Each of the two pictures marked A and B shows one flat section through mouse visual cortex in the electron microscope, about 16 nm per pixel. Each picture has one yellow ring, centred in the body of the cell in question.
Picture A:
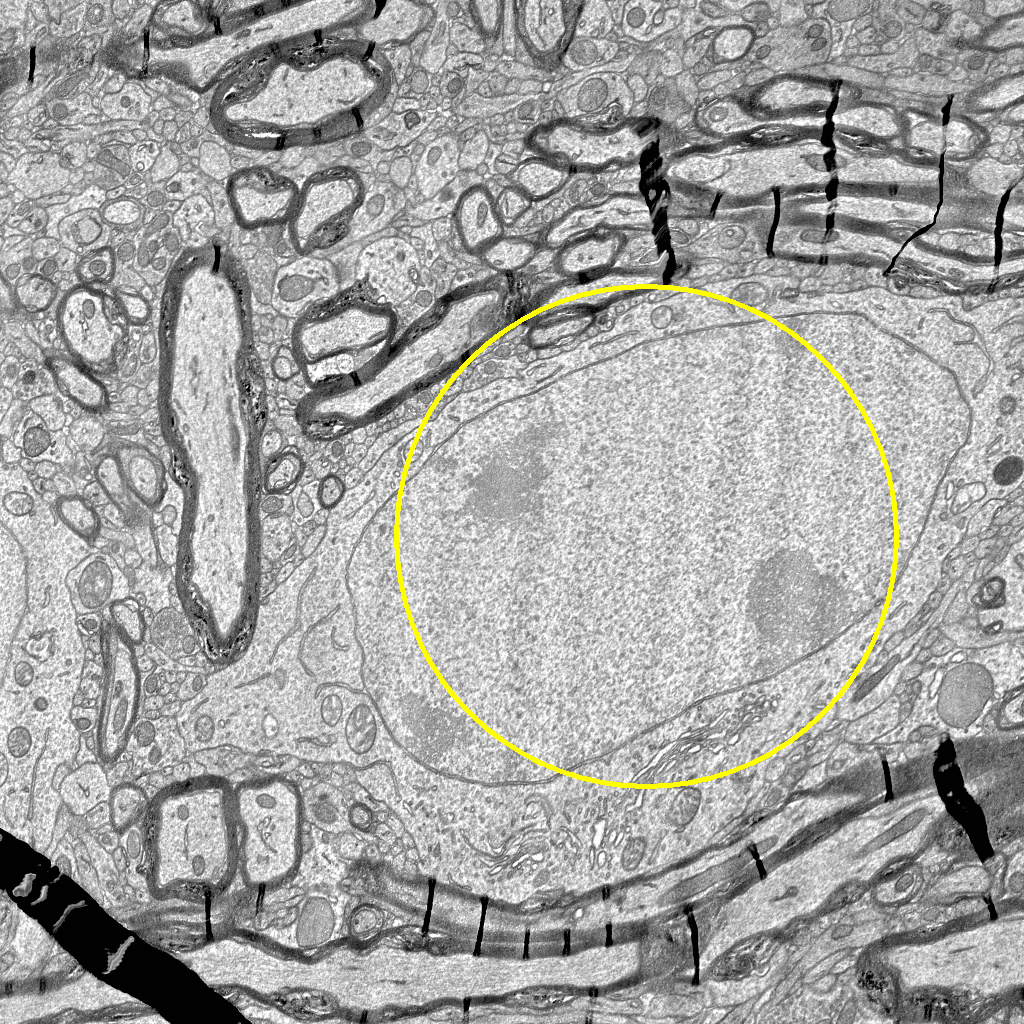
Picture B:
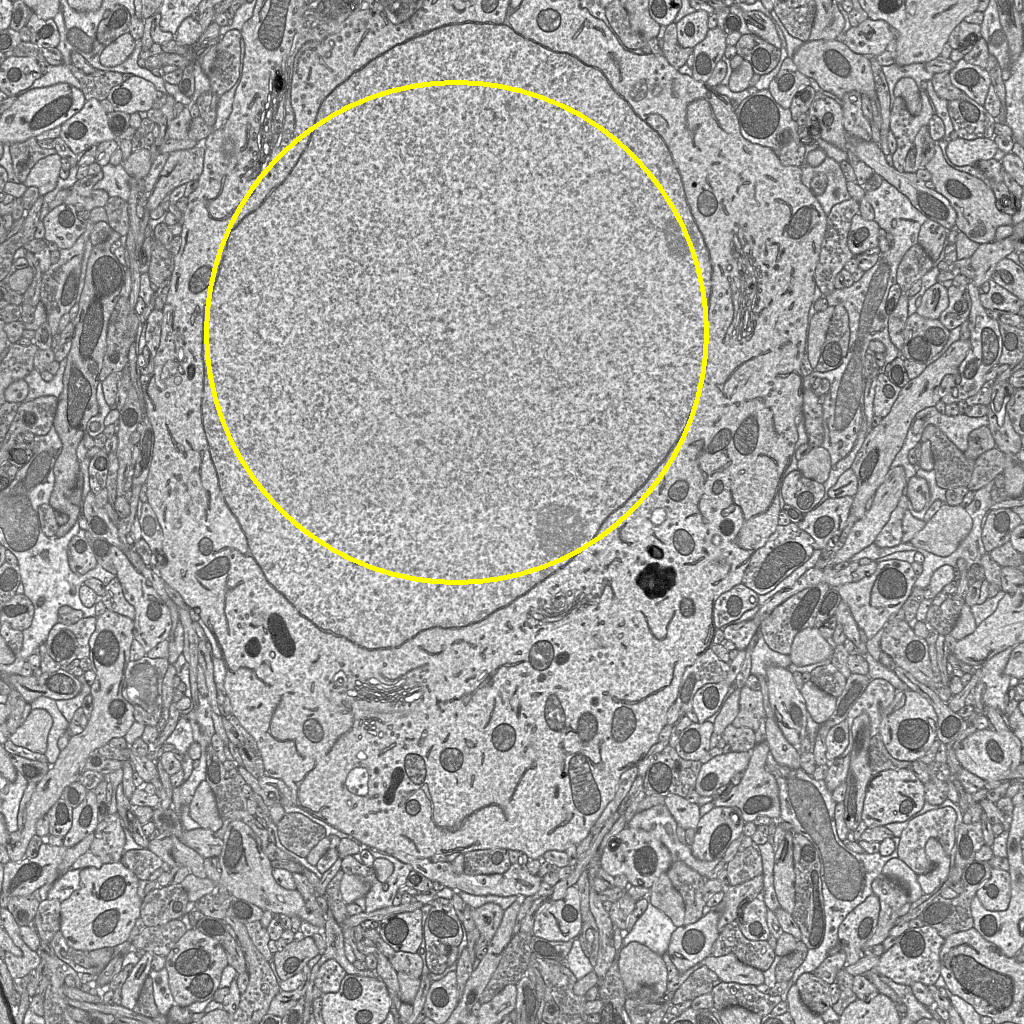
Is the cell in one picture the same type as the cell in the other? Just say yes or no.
yes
